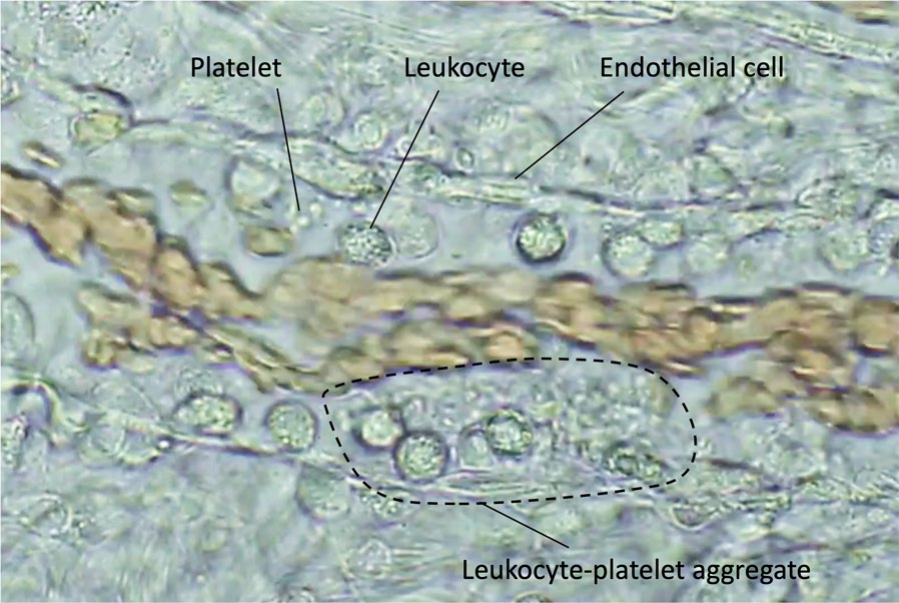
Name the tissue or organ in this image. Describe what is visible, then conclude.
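Microcirculation. Thin elongated cells line the vessel wall.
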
